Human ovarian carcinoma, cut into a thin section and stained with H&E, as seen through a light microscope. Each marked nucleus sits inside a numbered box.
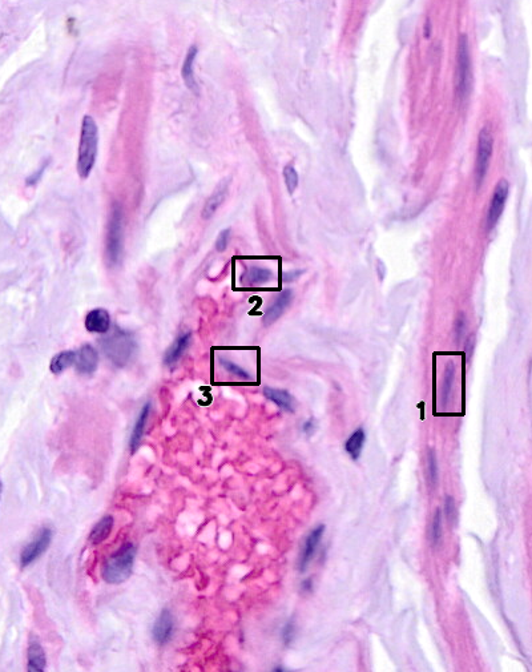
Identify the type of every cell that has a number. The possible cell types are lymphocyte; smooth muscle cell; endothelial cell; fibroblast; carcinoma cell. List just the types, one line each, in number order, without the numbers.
smooth muscle cell
endothelial cell
endothelial cell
